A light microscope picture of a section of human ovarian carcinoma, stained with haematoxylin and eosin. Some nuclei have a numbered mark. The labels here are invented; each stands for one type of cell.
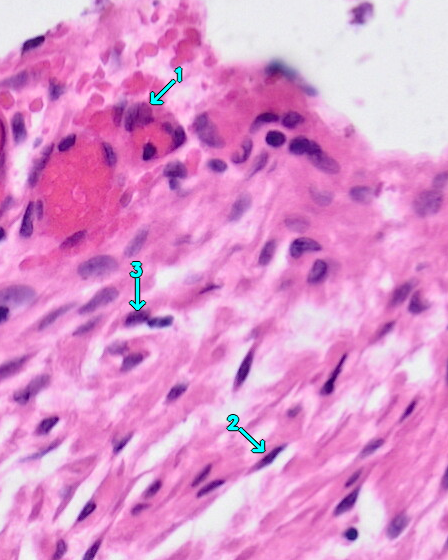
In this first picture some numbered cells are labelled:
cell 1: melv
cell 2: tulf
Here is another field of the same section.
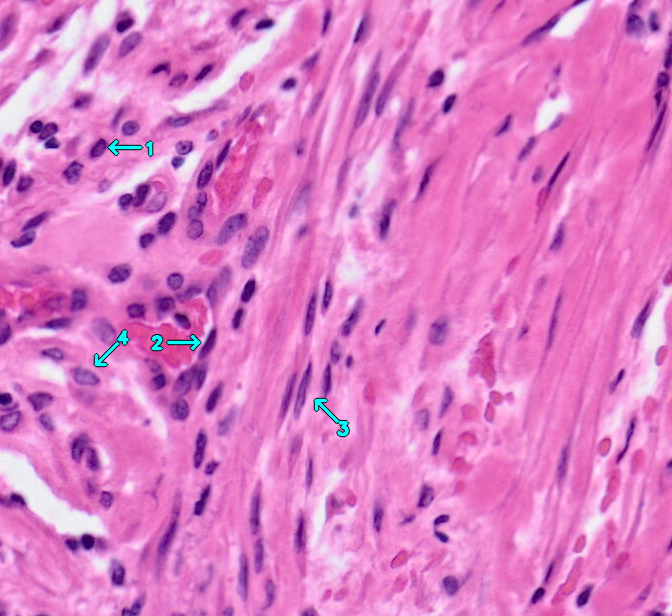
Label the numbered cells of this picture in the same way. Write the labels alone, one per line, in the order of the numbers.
tulf
melv
tulf
tulf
